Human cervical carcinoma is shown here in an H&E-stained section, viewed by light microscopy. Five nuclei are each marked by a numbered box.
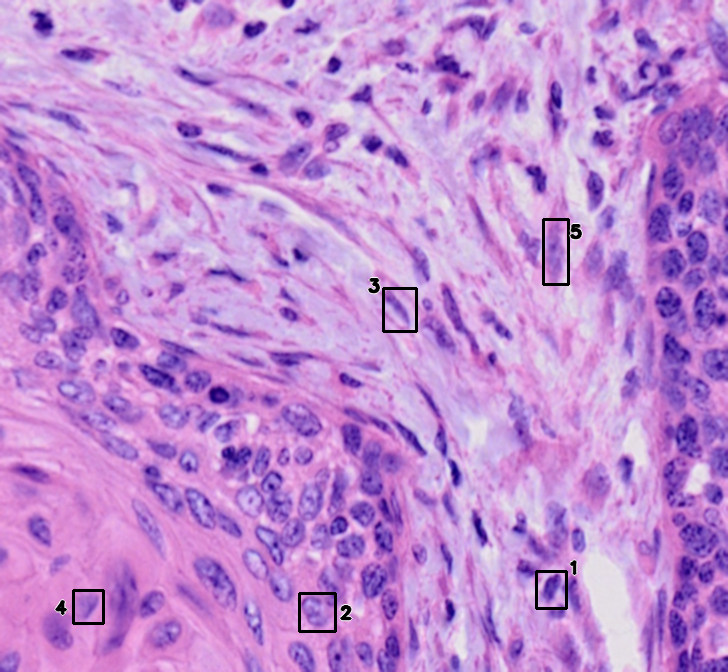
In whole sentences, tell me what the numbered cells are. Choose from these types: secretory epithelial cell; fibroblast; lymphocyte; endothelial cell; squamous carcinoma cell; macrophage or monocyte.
Cell 1 is a lymphocyte, cell 2 is a squamous carcinoma cell, cell 3 is a fibroblast, cell 4 is a squamous carcinoma cell and cell 5 is a fibroblast.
